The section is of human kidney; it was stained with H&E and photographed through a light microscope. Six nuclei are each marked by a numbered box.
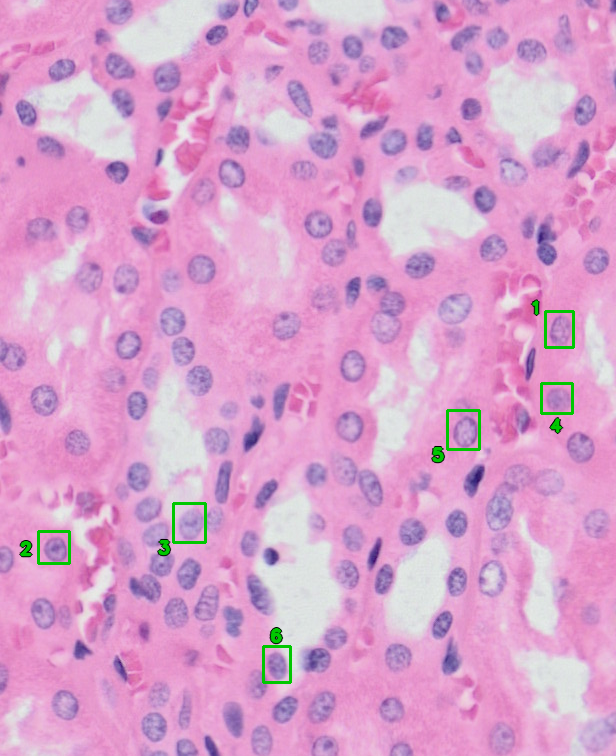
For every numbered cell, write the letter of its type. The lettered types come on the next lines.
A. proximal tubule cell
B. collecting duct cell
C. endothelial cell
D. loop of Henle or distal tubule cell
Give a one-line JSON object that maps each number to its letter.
{"1": "A", "2": "A", "3": "B", "4": "A", "5": "A", "6": "D"}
